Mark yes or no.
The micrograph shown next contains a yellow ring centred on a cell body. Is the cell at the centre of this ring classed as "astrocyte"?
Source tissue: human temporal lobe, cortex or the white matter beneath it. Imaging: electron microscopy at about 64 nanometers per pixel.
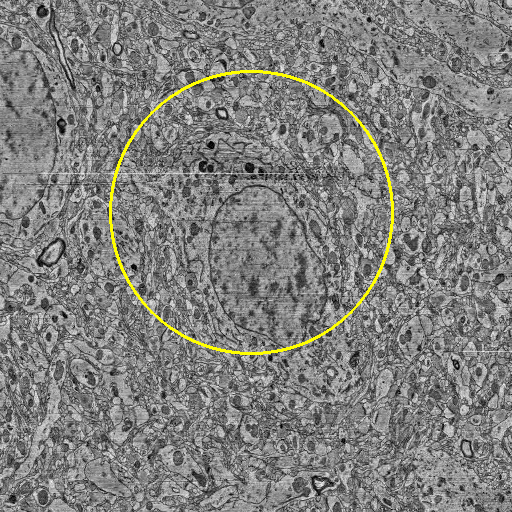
no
